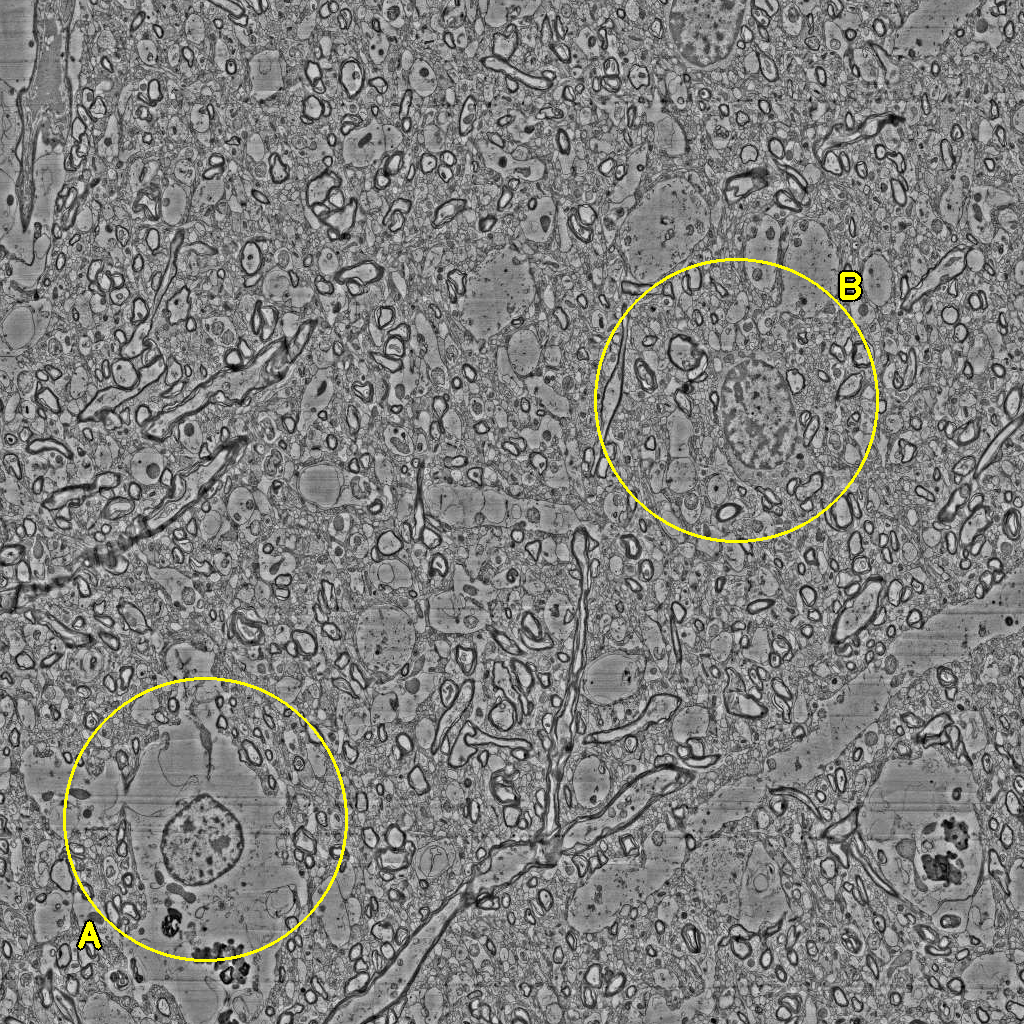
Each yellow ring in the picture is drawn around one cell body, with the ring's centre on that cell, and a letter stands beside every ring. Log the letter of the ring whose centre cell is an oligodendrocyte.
B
